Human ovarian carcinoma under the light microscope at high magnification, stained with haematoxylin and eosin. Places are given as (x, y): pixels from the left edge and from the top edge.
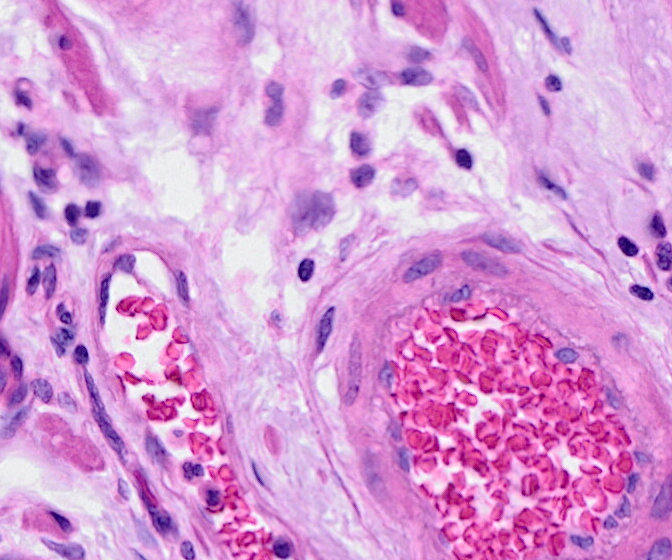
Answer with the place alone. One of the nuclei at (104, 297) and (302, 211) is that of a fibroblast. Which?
(302, 211)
